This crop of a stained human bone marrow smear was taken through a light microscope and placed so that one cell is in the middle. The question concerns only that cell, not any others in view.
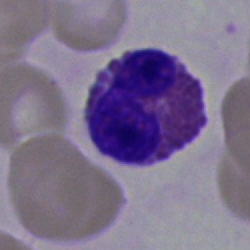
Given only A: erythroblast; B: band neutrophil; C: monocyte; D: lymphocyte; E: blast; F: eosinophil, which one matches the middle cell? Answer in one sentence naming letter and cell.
The cell in the centre of the crop is an eosinophil, so option F is the correct one.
